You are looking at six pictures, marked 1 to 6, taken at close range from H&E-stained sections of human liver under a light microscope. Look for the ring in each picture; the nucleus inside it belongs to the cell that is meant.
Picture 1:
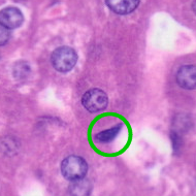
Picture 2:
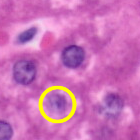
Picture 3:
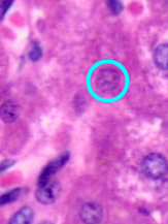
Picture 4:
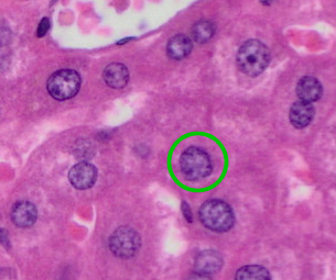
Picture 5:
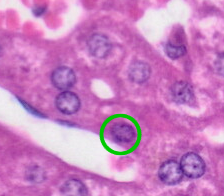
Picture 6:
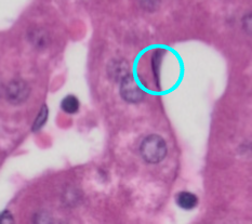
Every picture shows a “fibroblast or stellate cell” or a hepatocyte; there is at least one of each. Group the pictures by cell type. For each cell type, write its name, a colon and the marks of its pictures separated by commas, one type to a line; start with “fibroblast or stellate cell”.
fibroblast or stellate cell: 1, 6
hepatocyte: 2, 3, 4, 5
